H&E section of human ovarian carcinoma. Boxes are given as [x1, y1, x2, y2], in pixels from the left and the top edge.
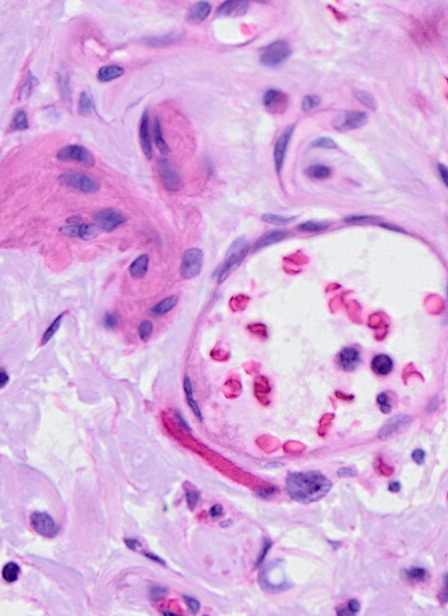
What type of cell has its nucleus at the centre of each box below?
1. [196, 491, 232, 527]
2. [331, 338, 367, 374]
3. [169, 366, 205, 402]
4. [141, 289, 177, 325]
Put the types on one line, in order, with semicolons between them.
endothelial cell; macrophage or monocyte; endothelial cell; smooth muscle cell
